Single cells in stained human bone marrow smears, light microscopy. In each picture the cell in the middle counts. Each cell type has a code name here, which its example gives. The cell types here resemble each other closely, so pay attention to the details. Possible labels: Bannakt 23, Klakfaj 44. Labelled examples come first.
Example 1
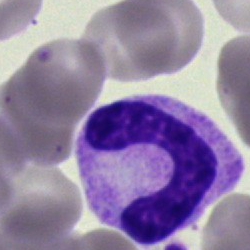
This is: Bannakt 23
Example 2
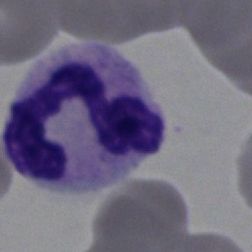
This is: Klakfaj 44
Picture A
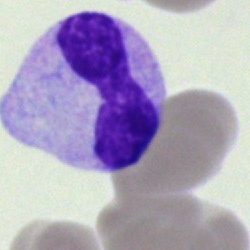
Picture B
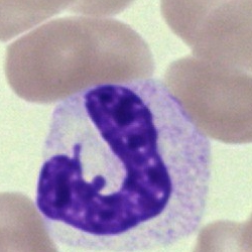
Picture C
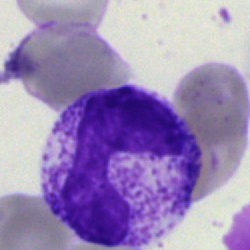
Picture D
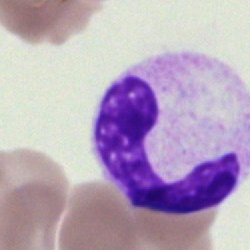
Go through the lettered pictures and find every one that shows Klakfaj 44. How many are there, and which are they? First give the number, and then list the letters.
0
